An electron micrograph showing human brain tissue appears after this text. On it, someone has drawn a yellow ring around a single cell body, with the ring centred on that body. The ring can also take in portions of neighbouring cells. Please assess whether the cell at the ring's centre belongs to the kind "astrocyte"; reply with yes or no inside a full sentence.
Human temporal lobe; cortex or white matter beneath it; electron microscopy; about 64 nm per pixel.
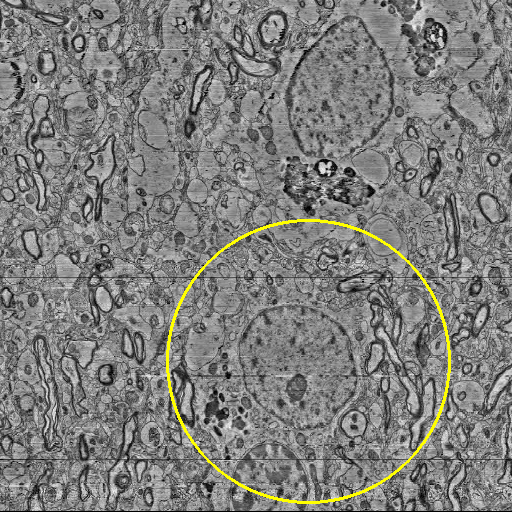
Yes, in this micrograph the cell at the centre of the ring is of that kind.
